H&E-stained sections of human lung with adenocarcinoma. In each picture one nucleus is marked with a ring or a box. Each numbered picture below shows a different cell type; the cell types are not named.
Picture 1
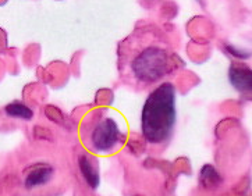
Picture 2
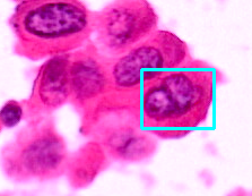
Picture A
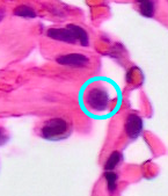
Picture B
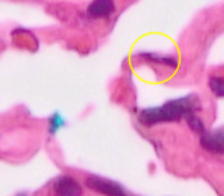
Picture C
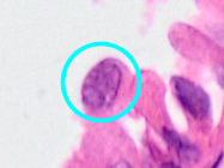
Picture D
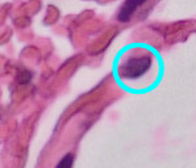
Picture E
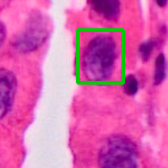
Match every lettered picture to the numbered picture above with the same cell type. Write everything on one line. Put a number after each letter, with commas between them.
A 1, B 1, C 2, D 1, E 2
